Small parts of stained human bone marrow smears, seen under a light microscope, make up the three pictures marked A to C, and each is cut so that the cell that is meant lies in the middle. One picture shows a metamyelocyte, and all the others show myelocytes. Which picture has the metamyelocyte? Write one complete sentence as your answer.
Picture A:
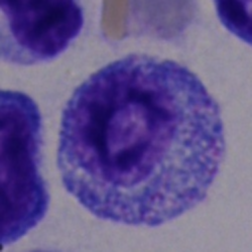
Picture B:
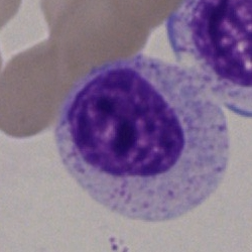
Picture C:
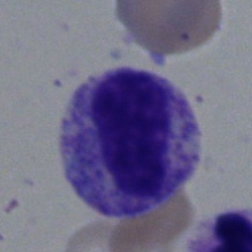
It is picture C that shows the metamyelocyte.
